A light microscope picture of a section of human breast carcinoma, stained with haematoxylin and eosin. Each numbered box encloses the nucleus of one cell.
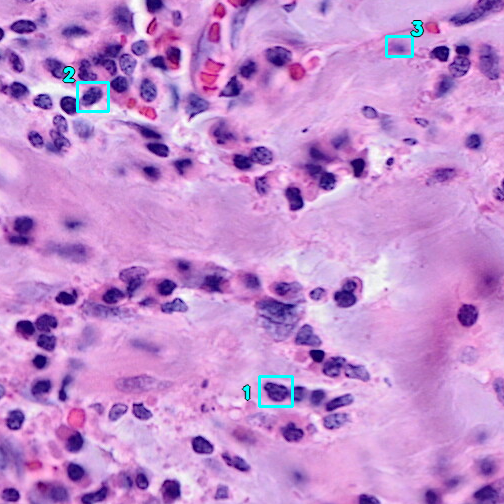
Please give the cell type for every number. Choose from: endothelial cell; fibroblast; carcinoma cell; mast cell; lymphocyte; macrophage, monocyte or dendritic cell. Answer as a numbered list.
1. lymphocyte
2. lymphocyte
3. mast cell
